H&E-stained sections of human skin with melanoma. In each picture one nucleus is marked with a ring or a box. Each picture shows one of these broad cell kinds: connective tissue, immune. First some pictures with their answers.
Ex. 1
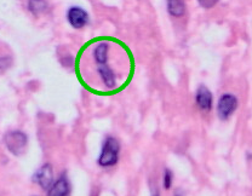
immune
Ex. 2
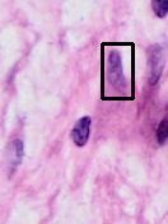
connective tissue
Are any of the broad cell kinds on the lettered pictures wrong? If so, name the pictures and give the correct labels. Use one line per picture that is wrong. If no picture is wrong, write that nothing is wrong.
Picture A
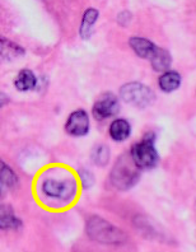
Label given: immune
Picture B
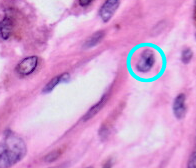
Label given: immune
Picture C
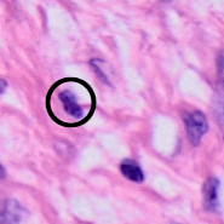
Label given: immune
Nothing to fix; every label fits.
